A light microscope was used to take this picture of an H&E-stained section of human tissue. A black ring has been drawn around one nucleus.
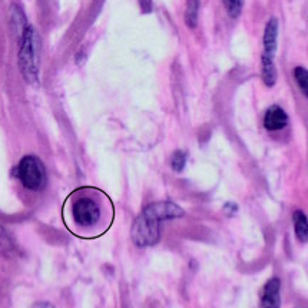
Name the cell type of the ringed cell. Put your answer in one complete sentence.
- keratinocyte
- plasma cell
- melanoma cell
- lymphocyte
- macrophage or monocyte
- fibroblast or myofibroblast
Microscopically, the ringed cell is categorized as a plasma cell.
